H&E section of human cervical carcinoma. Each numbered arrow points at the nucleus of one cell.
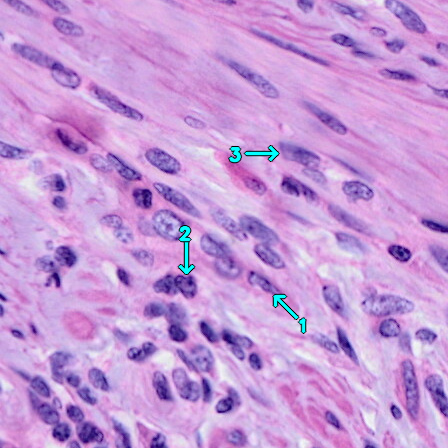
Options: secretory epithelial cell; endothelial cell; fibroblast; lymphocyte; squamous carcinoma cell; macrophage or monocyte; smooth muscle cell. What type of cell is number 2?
lymphocyte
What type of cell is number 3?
fibroblast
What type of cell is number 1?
endothelial cell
